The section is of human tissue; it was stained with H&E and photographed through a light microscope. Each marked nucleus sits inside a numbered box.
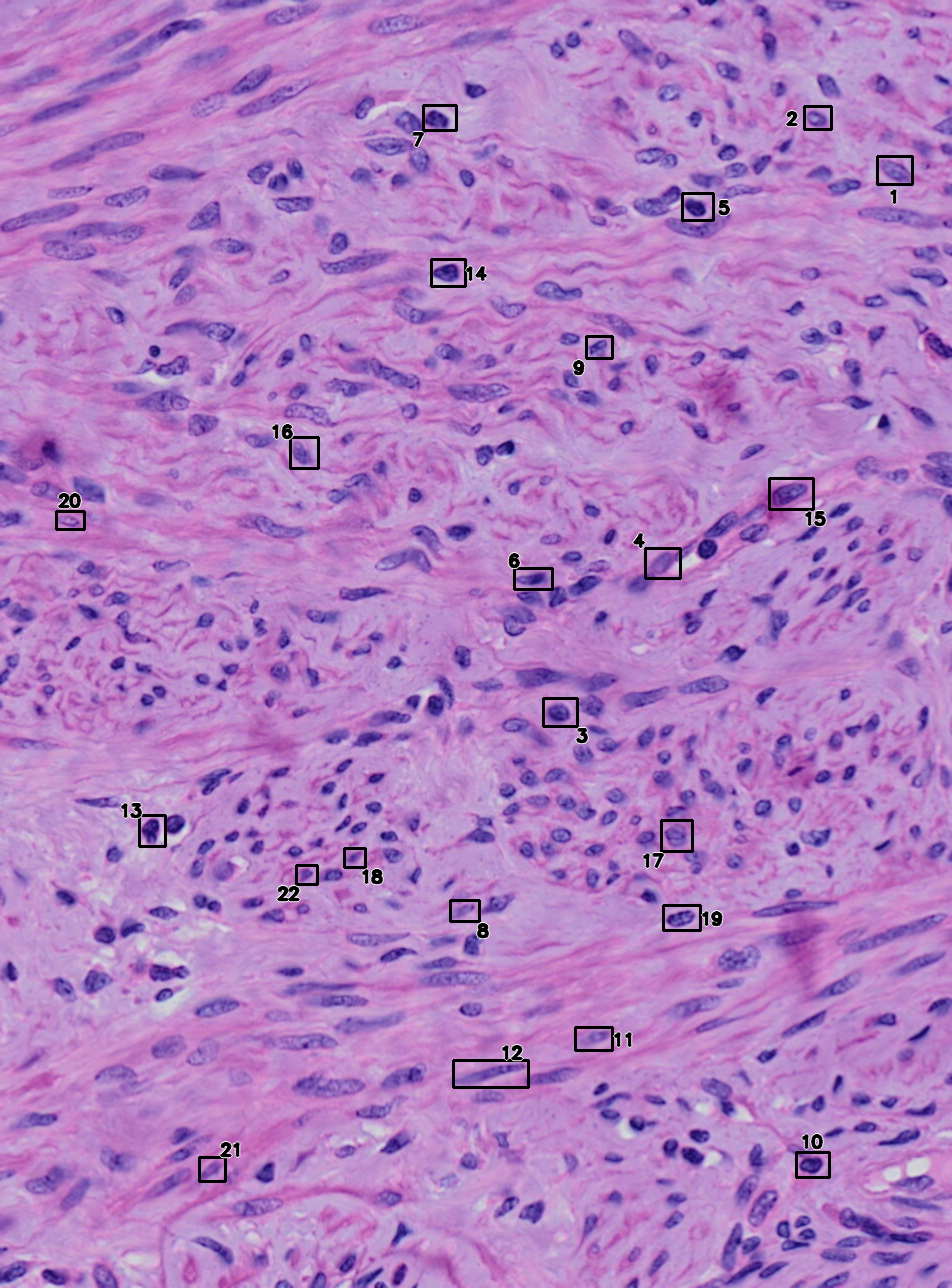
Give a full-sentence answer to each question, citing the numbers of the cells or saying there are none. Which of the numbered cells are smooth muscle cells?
The cells with the number labels 1, 2, 8, 9, 11, 12, 16, 17, 18, 20, 21 and 22 are smooth muscle cells.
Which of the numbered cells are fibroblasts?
As for the numbered cells, only cell 6 is a fibroblast.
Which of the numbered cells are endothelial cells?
Marked by the numbers 4 and 15 are cells that are endothelial cells.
